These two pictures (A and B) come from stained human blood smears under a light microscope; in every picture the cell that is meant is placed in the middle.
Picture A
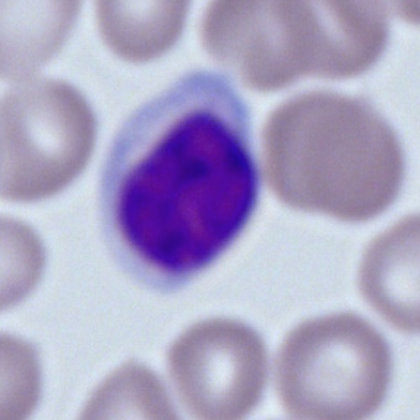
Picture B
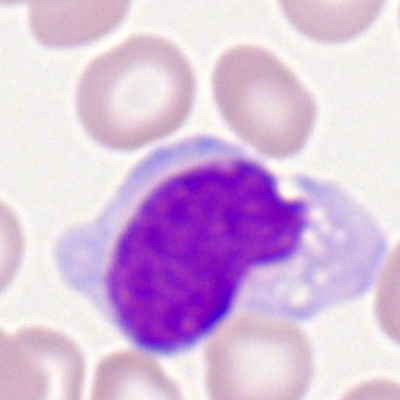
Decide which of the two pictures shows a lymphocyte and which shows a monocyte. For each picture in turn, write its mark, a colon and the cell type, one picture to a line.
A: lymphocyte
B: monocyte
